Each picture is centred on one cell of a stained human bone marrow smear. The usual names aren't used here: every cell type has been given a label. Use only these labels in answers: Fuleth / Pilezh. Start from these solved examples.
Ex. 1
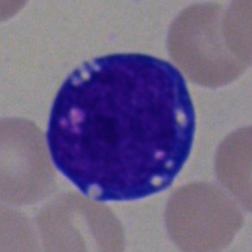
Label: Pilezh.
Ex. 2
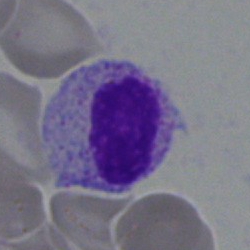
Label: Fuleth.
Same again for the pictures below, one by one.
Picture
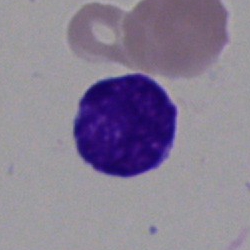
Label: Pilezh.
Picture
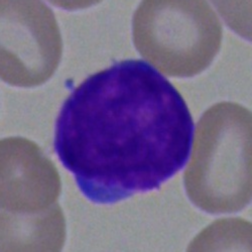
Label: Pilezh.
